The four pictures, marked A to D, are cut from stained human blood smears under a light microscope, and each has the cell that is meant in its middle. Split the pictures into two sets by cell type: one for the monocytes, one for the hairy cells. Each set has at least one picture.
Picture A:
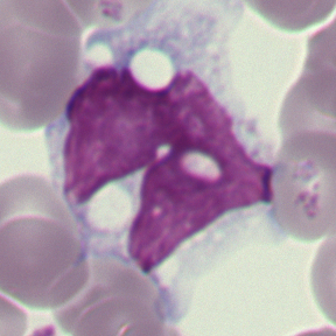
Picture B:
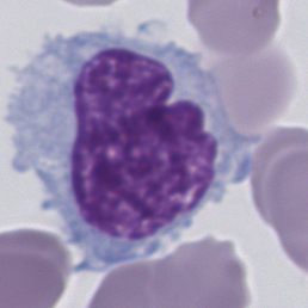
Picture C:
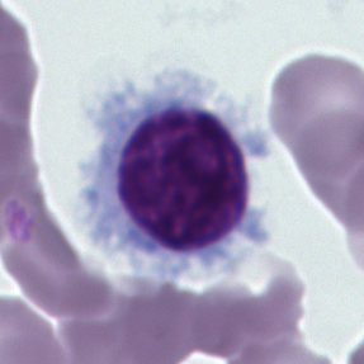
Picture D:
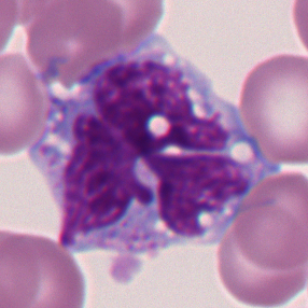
A: monocyte
B: monocyte
C: hairy cell
D: monocyte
